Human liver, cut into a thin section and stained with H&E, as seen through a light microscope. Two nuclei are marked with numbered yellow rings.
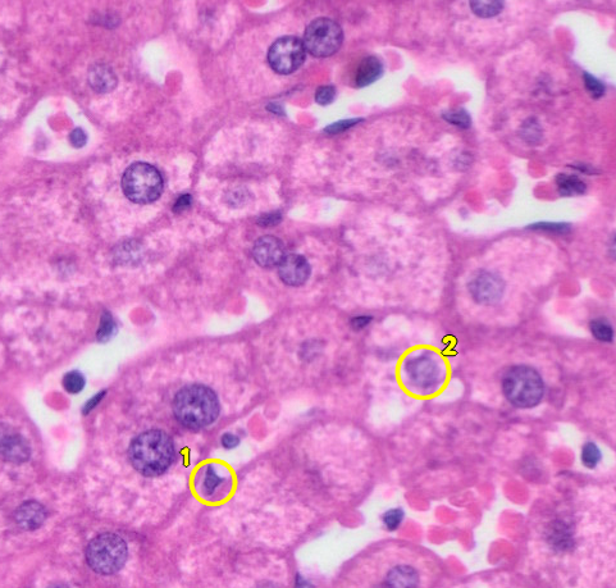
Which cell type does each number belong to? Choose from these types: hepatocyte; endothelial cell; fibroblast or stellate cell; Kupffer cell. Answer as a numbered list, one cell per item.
1. endothelial cell
2. hepatocyte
